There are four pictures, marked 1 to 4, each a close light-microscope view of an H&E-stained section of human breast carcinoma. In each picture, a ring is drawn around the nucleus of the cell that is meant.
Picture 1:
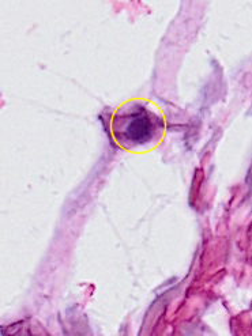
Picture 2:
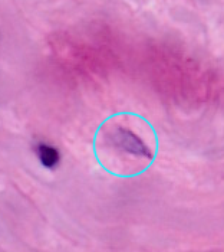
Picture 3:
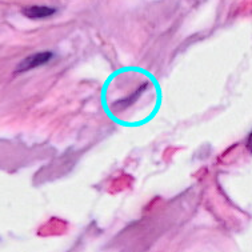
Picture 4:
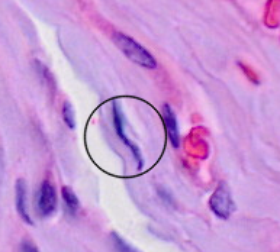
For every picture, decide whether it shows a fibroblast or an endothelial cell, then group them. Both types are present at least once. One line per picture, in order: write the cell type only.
endothelial cell
fibroblast
fibroblast
fibroblast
